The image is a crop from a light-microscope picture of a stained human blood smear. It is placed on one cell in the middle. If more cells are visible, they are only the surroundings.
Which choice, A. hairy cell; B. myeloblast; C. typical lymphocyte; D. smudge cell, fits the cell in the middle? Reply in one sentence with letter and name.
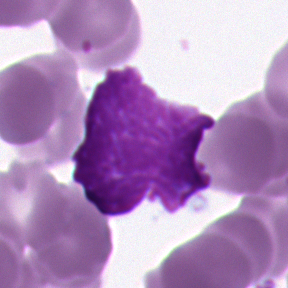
The cell centred in the crop is a smudge cell, and the correct option is thus D.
